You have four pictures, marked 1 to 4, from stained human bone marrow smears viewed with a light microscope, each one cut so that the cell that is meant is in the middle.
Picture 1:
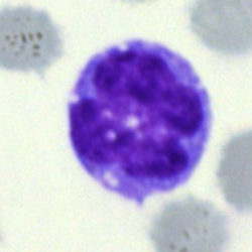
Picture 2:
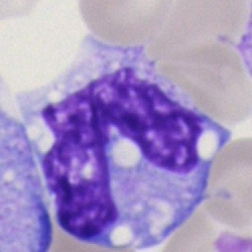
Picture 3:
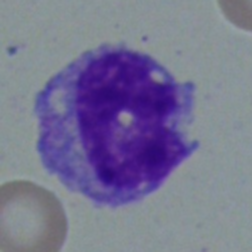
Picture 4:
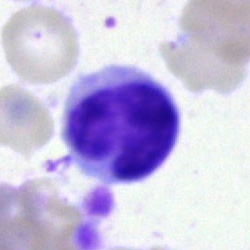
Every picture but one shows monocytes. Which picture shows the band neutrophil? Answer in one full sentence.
Picture 4 shows the band neutrophil.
